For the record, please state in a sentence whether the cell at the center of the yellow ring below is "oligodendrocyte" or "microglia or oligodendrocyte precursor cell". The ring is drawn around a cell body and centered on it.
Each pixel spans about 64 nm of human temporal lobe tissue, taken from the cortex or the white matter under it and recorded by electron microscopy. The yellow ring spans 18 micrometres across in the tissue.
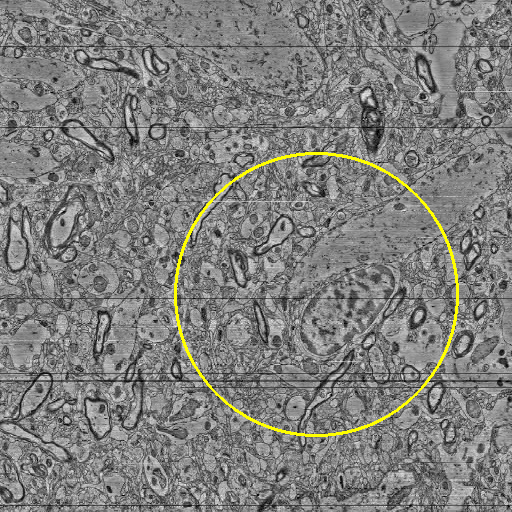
The cell at the ring's center is a microglial cell or oligodendrocyte precursor cell.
